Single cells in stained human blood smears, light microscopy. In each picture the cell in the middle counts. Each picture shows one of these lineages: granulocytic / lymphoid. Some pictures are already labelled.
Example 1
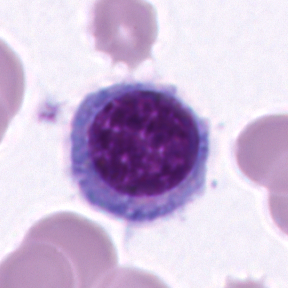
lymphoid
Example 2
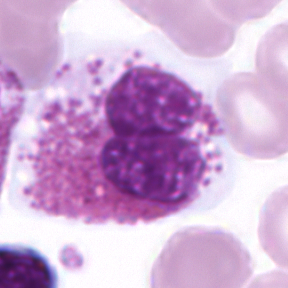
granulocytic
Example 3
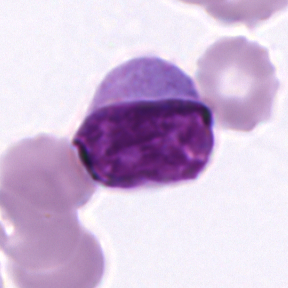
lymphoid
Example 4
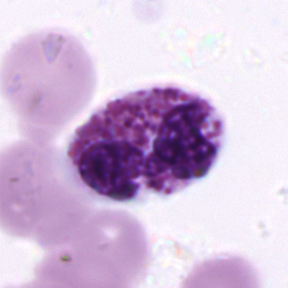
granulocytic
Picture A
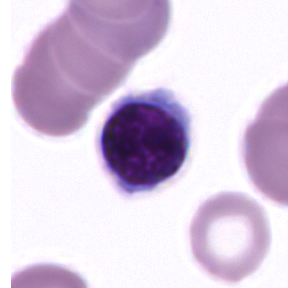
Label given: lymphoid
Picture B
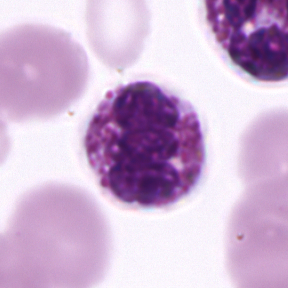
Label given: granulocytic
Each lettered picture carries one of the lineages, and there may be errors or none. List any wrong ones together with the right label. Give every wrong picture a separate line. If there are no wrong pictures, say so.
Nothing to fix; every label fits.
